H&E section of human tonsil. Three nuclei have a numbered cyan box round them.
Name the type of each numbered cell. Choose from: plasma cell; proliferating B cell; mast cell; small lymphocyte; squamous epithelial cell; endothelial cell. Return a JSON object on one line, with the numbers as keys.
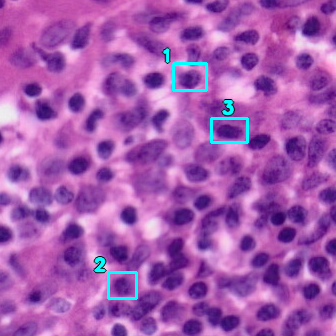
{"1": "squamous epithelial cell", "2": "plasma cell", "3": "squamous epithelial cell"}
